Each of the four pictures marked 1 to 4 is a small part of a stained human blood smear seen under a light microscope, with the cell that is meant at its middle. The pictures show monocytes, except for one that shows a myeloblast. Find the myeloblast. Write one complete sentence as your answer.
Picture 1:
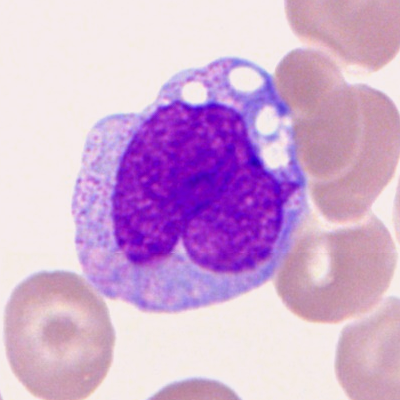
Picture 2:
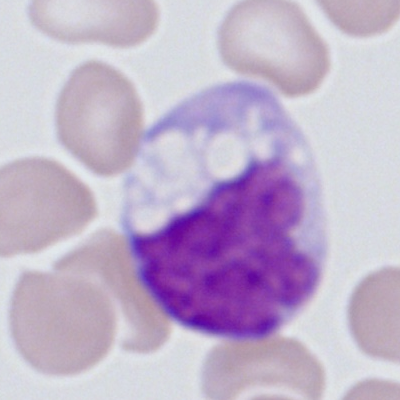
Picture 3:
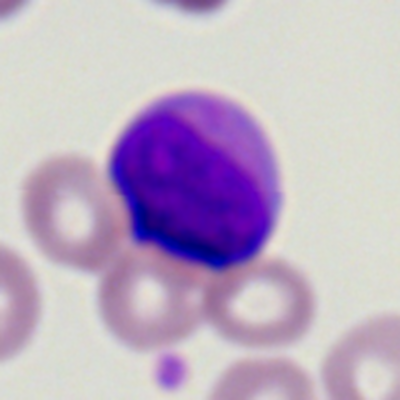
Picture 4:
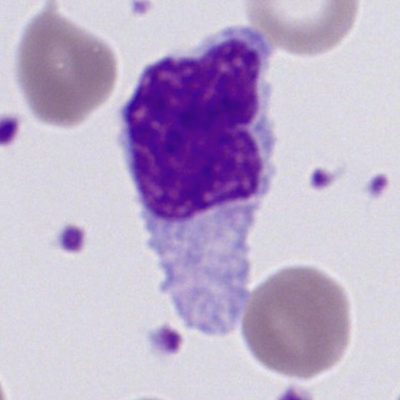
Picture 3 shows the myeloblast.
